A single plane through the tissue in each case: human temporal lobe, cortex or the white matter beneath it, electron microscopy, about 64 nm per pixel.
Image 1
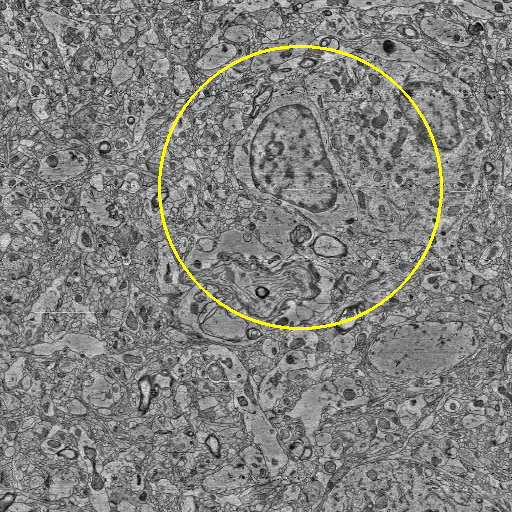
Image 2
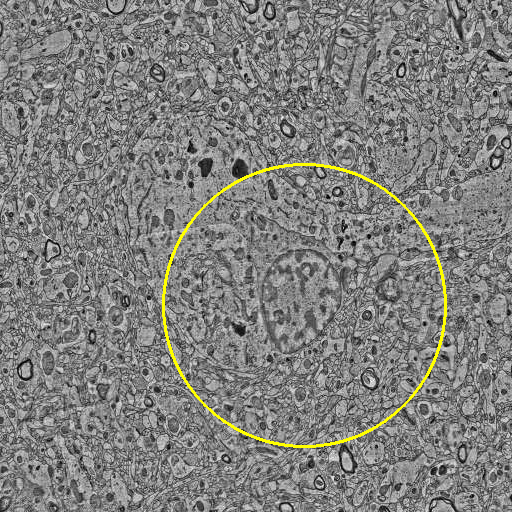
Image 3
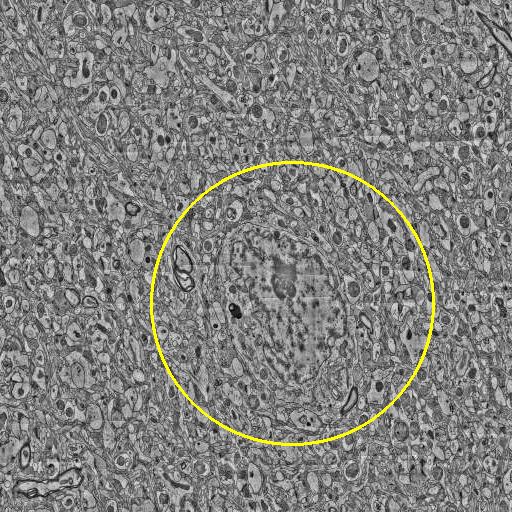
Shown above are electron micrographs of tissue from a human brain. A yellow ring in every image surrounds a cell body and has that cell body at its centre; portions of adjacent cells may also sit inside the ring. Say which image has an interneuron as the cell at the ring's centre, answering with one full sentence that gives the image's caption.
The image whose ring is centred on the requested cell is Image 3.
